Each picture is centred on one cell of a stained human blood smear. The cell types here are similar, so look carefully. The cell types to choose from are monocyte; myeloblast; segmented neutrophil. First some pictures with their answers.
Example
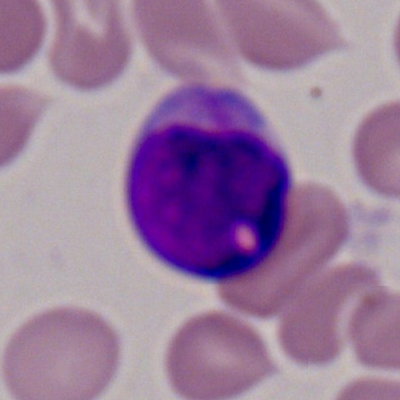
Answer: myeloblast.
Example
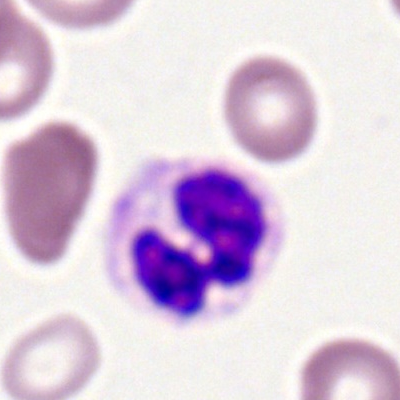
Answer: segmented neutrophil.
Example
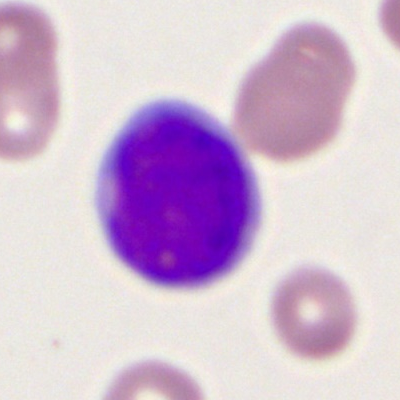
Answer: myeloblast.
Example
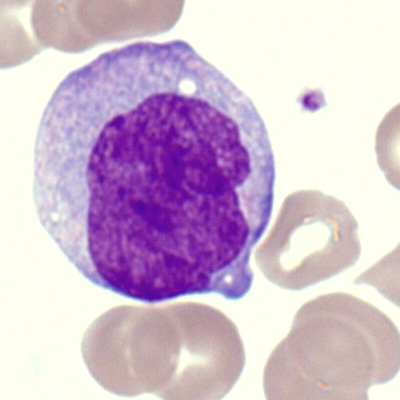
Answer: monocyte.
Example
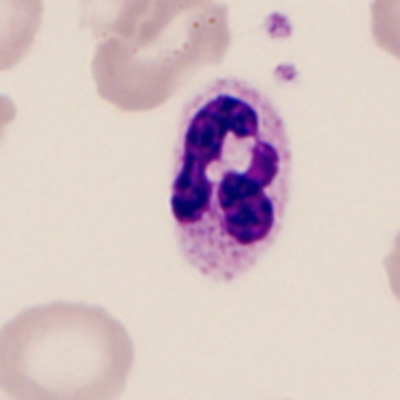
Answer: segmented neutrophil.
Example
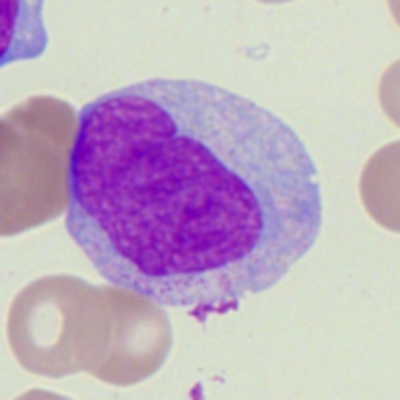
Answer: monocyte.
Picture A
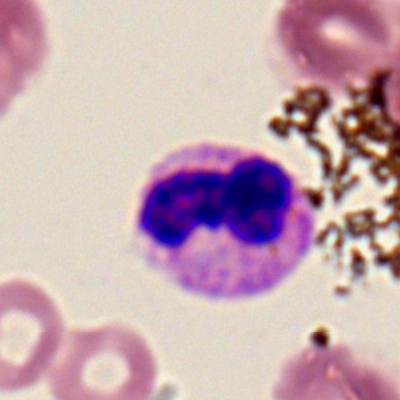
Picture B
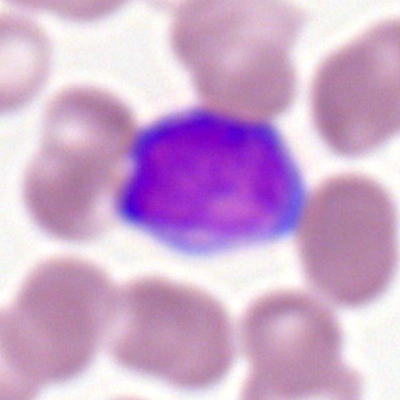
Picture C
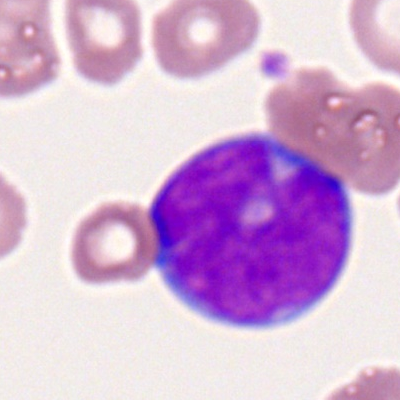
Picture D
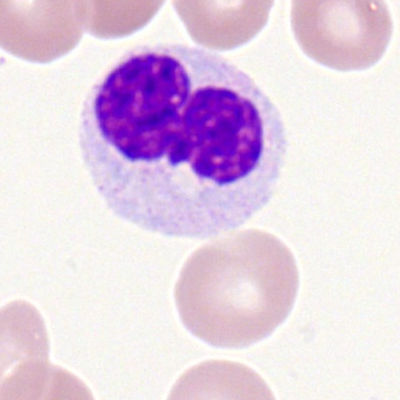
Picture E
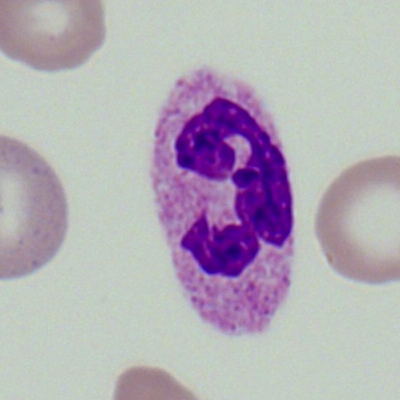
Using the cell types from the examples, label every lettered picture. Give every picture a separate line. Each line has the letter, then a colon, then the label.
A: segmented neutrophil.
B: myeloblast.
C: myeloblast.
D: segmented neutrophil.
E: segmented neutrophil.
